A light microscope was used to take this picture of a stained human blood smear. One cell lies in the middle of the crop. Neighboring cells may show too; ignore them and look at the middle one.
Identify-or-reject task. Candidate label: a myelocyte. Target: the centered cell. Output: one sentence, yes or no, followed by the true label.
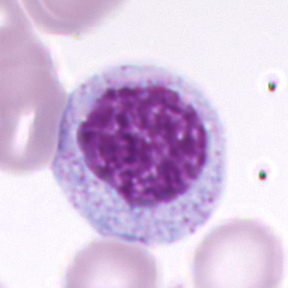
Yes, the cell at the middle of the field is to be classed as a myelocyte.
